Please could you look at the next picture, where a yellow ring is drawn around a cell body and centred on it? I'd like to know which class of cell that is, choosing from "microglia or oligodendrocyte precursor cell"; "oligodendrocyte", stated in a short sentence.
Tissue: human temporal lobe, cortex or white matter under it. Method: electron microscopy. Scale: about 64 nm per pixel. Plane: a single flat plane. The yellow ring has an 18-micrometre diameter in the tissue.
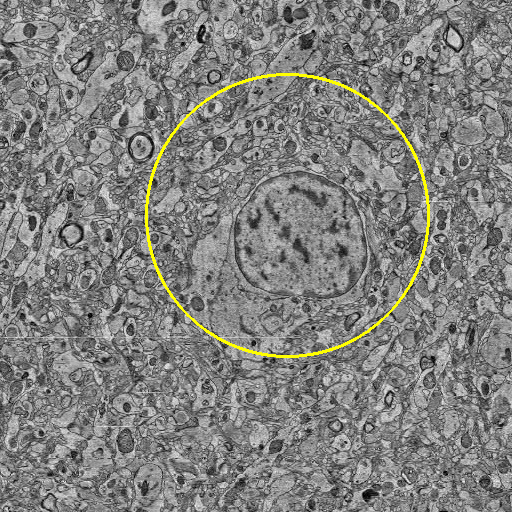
The ring's centre lies on a microglial cell or oligodendrocyte precursor cell.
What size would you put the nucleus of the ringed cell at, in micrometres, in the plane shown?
In this plane, approximately 9 micrometres across.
